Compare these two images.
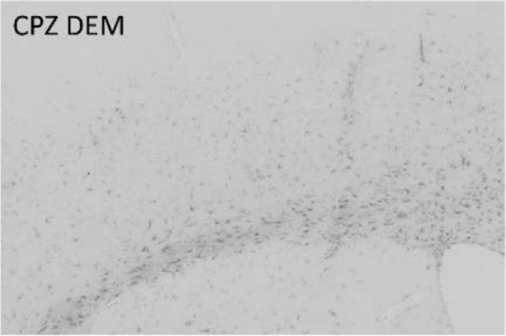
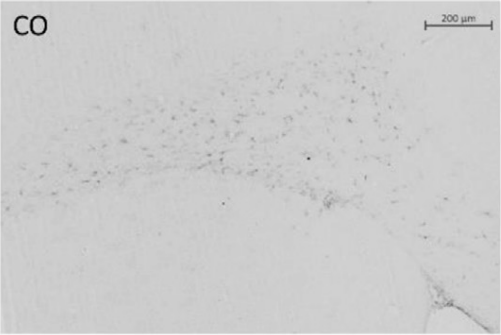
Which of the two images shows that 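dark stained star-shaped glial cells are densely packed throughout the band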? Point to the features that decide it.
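Second image: only scattered, sparse stained cells in the band. First image: many closely packed stained cells along the whole arched band and above it.
Conclusion: the first image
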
